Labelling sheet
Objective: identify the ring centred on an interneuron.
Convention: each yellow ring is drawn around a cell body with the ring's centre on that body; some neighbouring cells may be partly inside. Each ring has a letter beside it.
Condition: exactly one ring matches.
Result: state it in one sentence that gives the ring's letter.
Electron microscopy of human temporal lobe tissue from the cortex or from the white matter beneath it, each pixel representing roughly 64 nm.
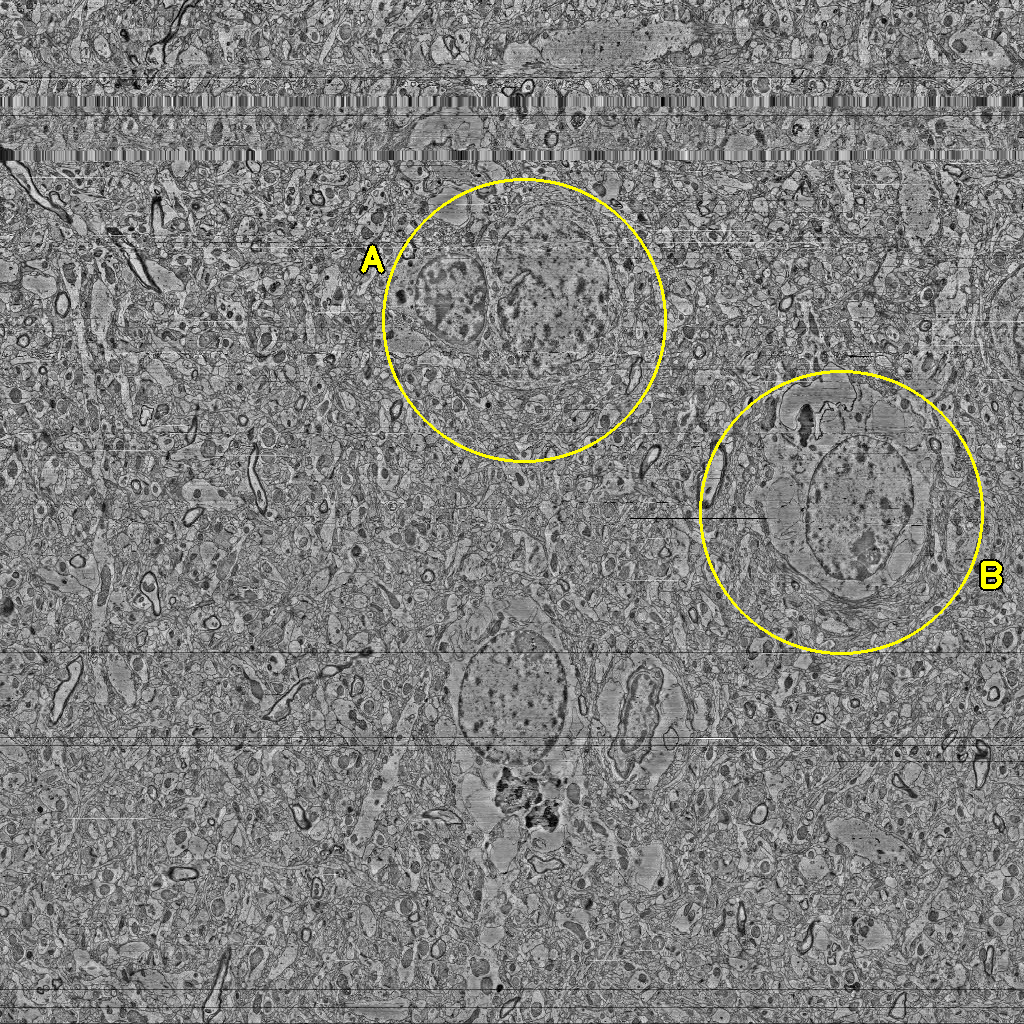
It lies at the centre of ring A.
